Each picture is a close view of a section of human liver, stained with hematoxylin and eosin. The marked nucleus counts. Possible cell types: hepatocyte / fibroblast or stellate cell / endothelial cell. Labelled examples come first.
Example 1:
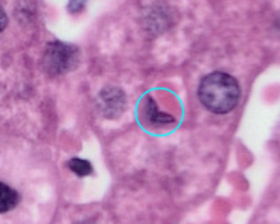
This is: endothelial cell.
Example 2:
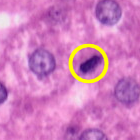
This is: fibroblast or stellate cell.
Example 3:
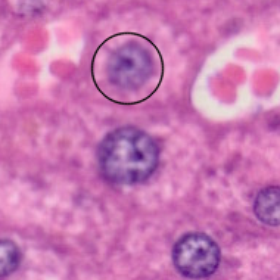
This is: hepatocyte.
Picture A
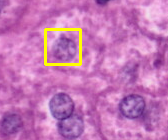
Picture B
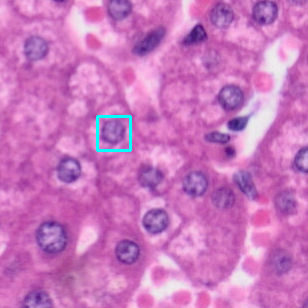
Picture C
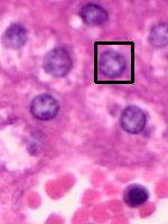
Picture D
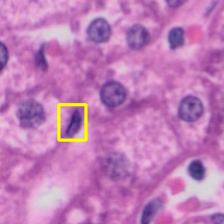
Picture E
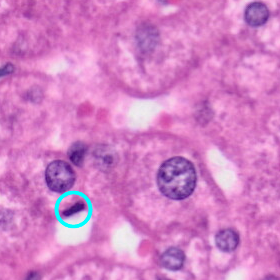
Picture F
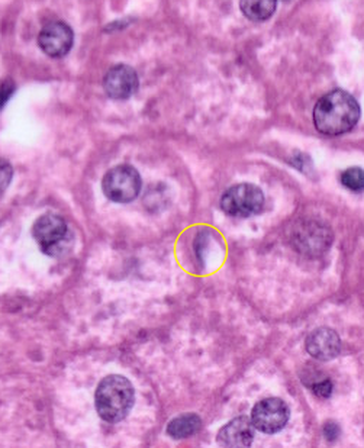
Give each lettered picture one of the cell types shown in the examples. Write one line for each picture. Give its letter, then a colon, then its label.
A: hepatocyte.
B: hepatocyte.
C: hepatocyte.
D: fibroblast or stellate cell.
E: endothelial cell.
F: endothelial cell.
